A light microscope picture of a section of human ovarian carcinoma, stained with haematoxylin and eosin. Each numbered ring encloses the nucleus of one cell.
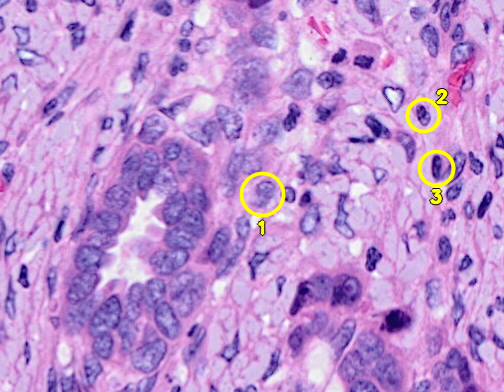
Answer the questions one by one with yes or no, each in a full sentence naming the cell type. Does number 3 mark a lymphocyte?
Yes, exactly, the cell numbered 3 is a lymphocyte.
